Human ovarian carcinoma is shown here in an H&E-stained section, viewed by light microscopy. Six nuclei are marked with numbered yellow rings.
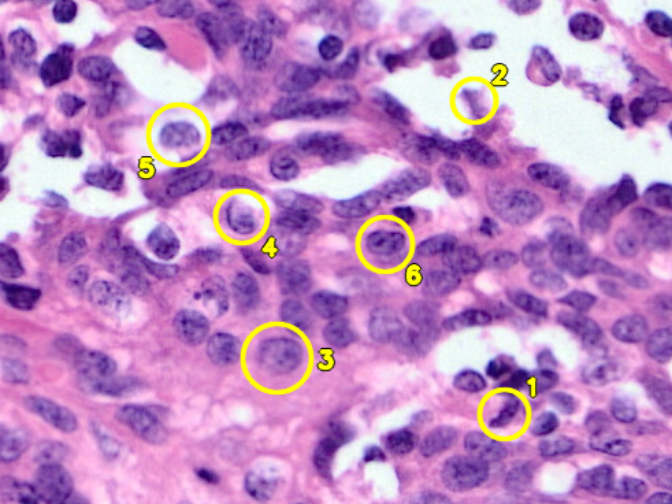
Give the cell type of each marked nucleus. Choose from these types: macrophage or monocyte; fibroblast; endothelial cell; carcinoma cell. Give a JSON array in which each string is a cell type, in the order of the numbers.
["carcinoma cell", "carcinoma cell", "carcinoma cell", "macrophage or monocyte", "carcinoma cell", "macrophage or monocyte"]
